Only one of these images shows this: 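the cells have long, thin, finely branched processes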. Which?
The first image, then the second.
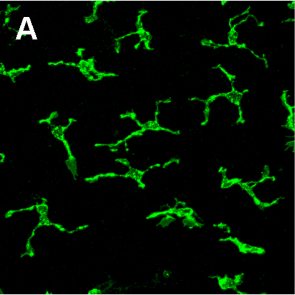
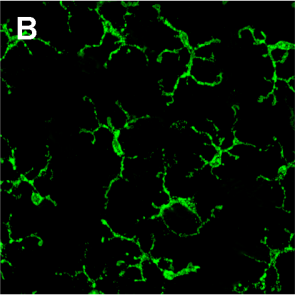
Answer: The second image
